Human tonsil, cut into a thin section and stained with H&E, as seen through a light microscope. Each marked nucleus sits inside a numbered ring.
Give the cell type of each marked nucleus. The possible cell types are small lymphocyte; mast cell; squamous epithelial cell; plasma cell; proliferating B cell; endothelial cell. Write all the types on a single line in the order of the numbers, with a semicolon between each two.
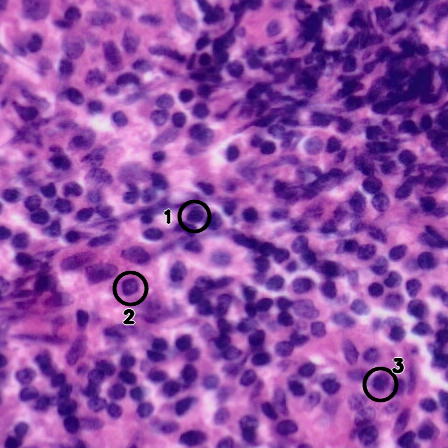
small lymphocyte; plasma cell; plasma cell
